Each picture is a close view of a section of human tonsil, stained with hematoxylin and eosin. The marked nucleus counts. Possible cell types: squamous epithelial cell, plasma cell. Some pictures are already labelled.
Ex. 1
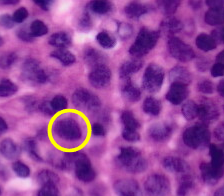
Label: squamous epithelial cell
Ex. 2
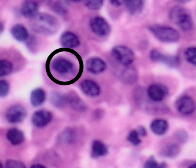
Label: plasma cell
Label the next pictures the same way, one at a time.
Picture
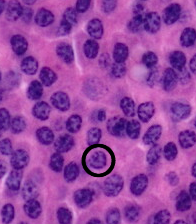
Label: plasma cell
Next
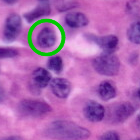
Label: plasma cell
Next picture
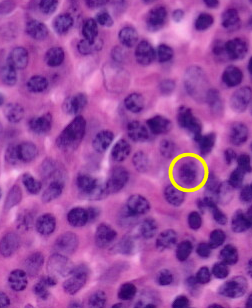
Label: plasma cell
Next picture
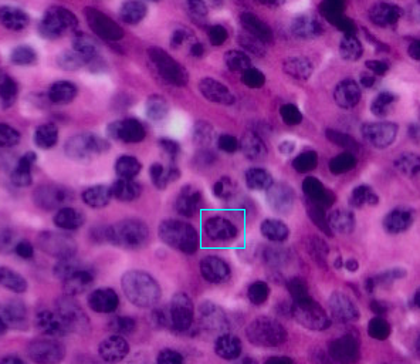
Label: plasma cell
